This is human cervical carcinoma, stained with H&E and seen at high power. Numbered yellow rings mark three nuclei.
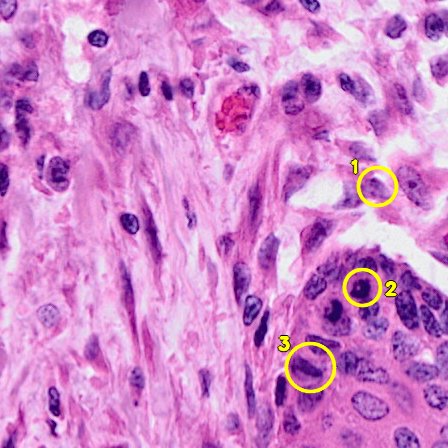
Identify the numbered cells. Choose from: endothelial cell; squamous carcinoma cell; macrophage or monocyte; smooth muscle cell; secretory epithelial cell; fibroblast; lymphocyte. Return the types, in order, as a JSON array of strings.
["fibroblast", "squamous carcinoma cell", "squamous carcinoma cell"]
